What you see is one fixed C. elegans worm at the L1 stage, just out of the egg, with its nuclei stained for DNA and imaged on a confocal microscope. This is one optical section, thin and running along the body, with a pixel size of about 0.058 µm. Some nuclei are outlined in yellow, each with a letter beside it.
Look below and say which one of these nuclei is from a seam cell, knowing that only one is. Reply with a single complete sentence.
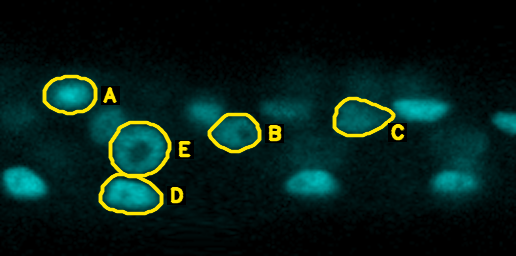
It is B that belongs to a seam cell.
